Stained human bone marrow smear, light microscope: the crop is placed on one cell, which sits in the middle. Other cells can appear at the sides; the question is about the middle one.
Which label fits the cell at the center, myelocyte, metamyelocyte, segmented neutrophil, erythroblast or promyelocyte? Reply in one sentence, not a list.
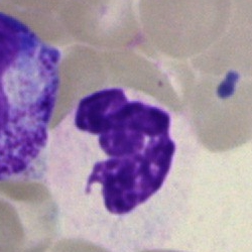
In the center of this field lies a segmented neutrophil.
